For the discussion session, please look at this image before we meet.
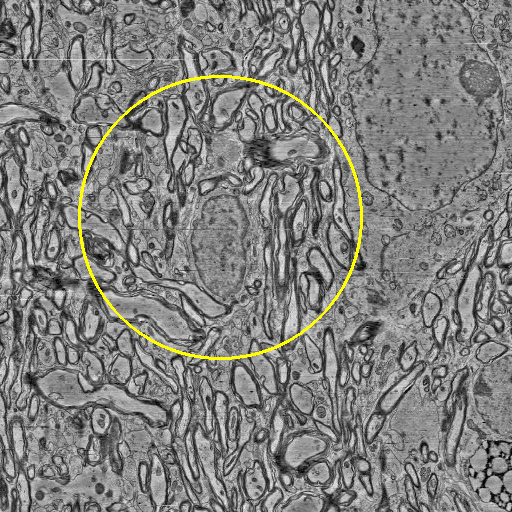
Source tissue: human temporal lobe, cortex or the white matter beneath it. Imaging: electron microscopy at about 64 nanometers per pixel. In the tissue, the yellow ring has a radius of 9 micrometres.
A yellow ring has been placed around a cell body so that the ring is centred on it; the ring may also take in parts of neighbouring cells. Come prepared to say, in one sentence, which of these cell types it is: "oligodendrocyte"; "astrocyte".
The cell centred in the ring is an oligodendrocyte.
